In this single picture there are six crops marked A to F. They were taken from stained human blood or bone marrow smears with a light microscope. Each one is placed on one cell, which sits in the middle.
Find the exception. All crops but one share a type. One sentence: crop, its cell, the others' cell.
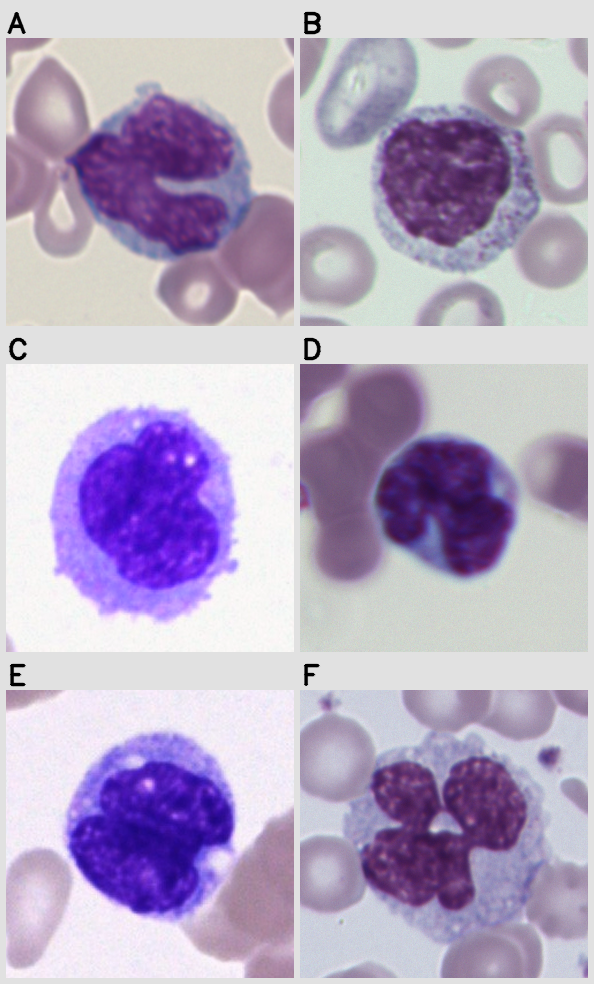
Apart from crop B, which shows a myelocyte, every crop shows monocytes.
